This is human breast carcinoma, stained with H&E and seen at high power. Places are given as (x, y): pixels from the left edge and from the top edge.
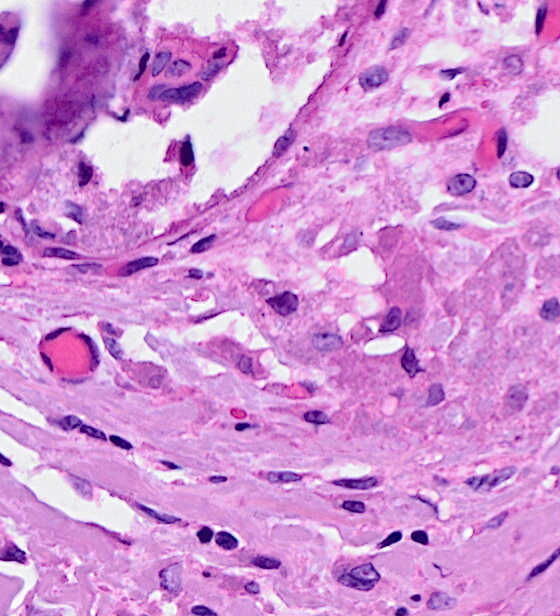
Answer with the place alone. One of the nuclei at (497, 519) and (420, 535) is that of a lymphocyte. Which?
(420, 535)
